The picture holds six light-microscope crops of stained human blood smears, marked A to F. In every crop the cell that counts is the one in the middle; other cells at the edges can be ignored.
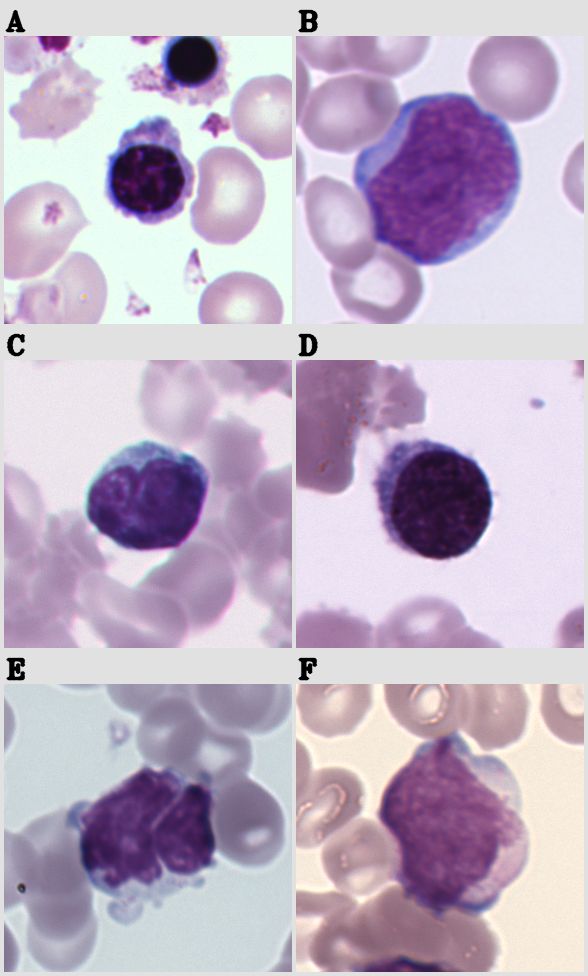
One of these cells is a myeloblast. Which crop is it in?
B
